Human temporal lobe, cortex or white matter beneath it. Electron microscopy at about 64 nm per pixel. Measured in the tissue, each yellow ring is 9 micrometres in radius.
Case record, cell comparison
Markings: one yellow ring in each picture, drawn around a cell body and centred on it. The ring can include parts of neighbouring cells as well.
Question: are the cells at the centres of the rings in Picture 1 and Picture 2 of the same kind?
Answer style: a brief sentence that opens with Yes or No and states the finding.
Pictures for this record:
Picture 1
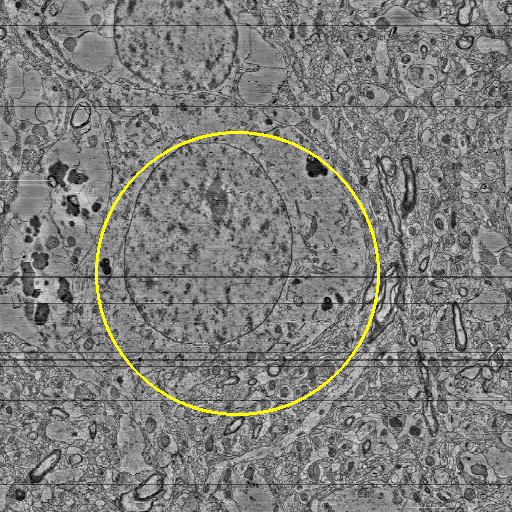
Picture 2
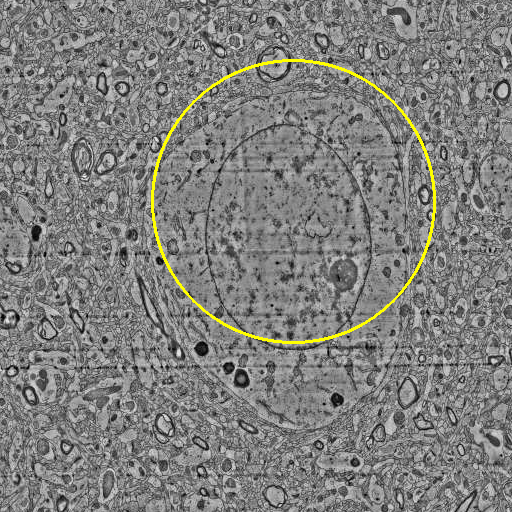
Yes, the cells in Picture 1 and Picture 2 are of the same kind.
